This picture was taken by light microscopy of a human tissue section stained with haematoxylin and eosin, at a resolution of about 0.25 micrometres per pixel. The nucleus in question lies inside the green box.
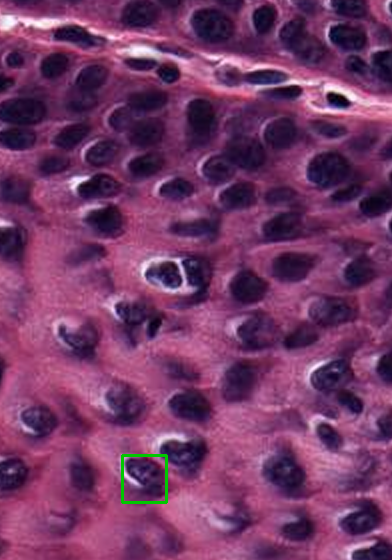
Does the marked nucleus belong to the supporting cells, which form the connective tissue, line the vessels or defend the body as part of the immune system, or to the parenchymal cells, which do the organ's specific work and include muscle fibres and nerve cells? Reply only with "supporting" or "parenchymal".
parenchymal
